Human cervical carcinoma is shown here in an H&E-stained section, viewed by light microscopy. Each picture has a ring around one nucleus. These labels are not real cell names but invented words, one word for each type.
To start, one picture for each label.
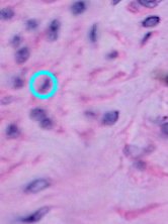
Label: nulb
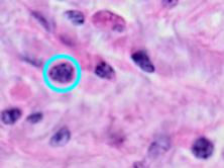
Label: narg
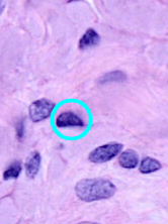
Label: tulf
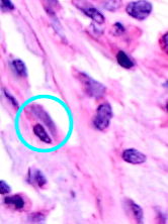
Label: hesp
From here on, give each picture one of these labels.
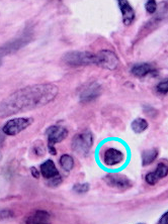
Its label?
narg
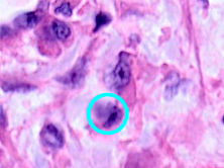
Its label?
hesp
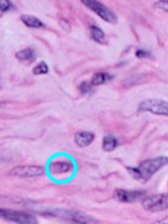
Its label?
nulb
